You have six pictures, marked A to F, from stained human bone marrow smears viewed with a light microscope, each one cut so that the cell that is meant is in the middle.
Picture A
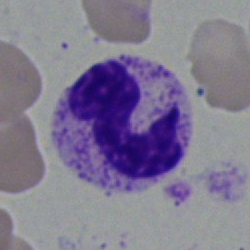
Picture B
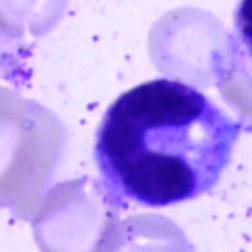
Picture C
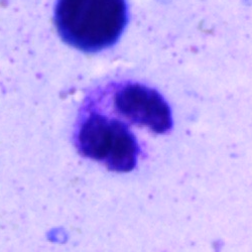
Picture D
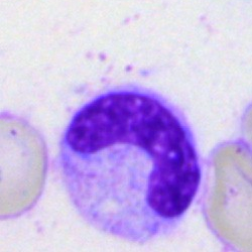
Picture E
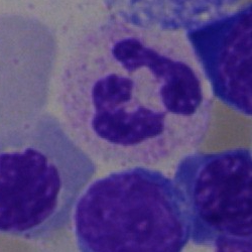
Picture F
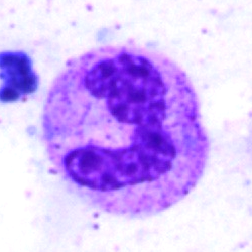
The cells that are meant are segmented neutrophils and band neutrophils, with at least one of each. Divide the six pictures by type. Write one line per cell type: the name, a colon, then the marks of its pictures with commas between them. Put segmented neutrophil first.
segmented neutrophil: C, E
band neutrophil: A, B, D, F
